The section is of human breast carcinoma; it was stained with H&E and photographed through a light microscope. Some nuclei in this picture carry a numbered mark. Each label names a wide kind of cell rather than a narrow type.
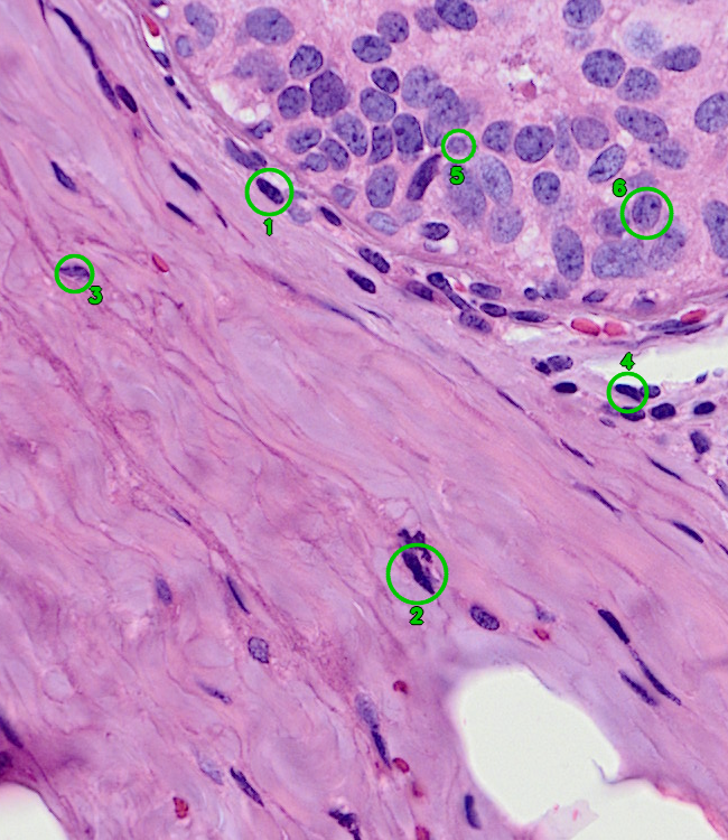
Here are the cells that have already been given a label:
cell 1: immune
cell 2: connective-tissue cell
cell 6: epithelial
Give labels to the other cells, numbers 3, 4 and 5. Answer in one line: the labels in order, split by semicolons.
connective-tissue cell; immune; epithelial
